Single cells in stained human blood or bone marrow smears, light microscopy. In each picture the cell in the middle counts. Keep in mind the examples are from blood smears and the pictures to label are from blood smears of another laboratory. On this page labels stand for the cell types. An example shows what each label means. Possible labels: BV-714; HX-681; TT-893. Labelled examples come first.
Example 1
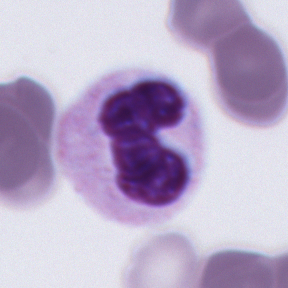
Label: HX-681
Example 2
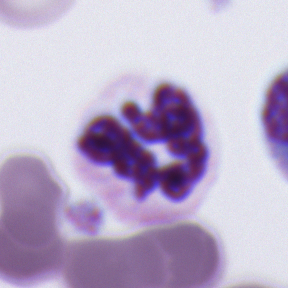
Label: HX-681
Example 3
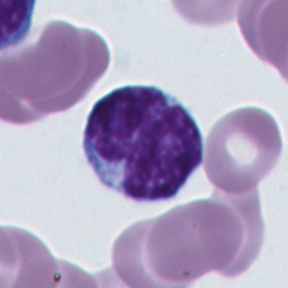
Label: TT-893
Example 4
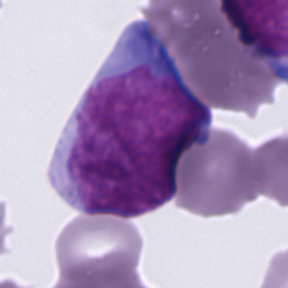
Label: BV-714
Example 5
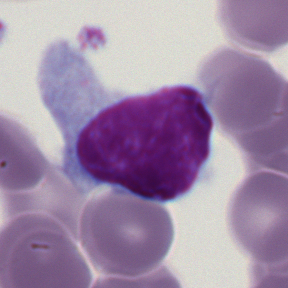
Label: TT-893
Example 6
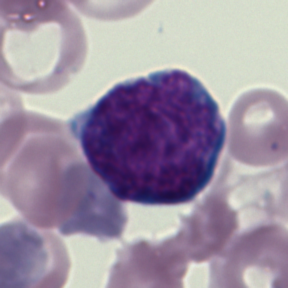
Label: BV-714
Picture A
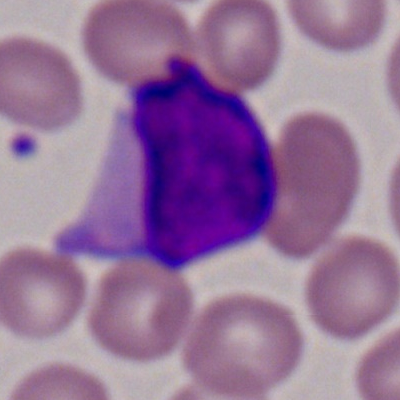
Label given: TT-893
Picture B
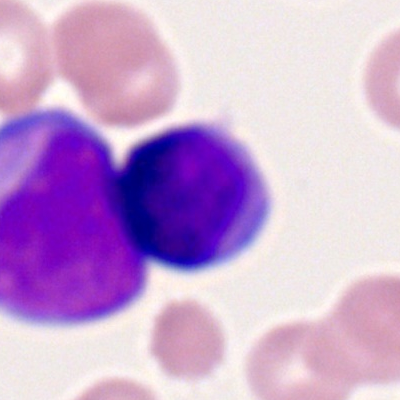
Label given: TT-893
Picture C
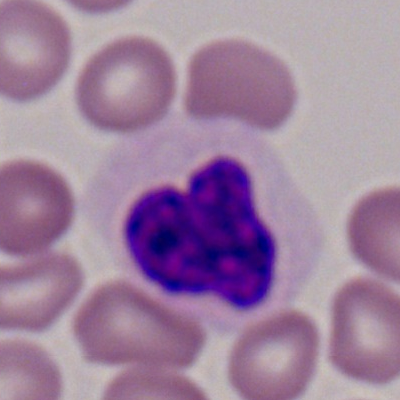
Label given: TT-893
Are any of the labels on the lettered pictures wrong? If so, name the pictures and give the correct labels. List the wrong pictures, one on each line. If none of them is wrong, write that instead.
Wrong: A (TT-893); correct: BV-714
Wrong: C (TT-893); correct: HX-681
